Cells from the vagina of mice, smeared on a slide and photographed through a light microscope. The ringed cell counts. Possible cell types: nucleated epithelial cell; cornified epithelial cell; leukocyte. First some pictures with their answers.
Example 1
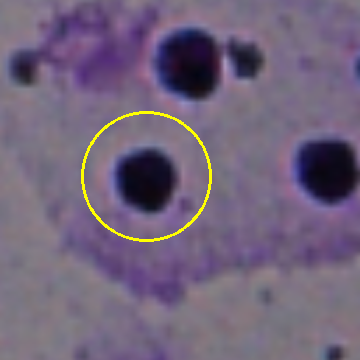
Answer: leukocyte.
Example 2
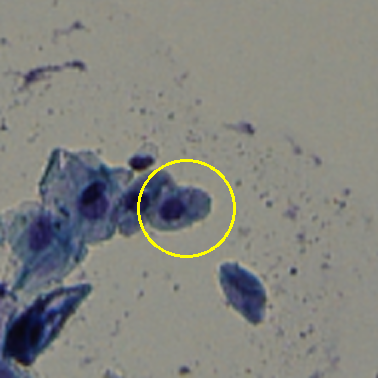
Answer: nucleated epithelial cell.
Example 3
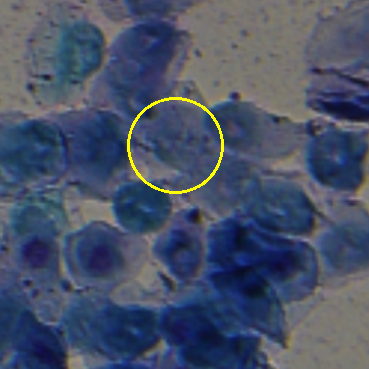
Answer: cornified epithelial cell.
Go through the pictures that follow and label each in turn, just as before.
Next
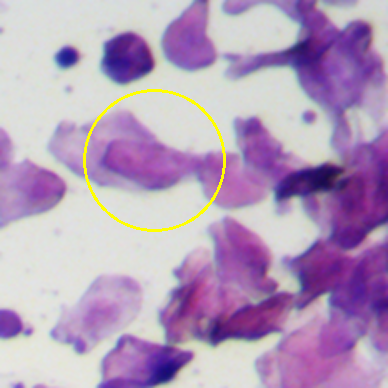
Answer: cornified epithelial cell.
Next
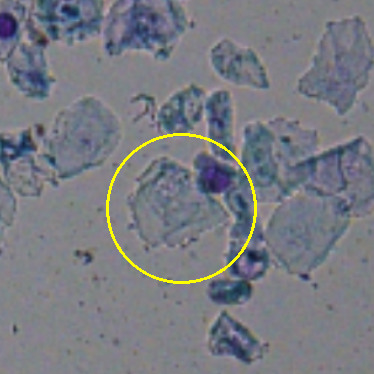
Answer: cornified epithelial cell.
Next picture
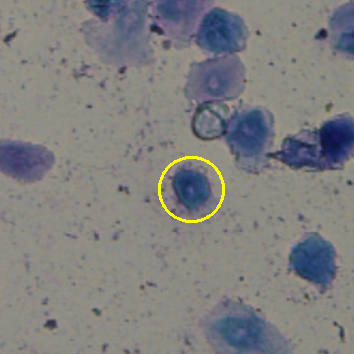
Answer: nucleated epithelial cell.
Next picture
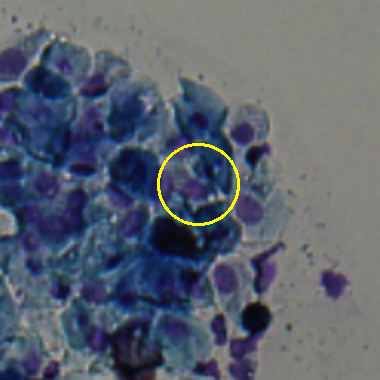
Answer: nucleated epithelial cell.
